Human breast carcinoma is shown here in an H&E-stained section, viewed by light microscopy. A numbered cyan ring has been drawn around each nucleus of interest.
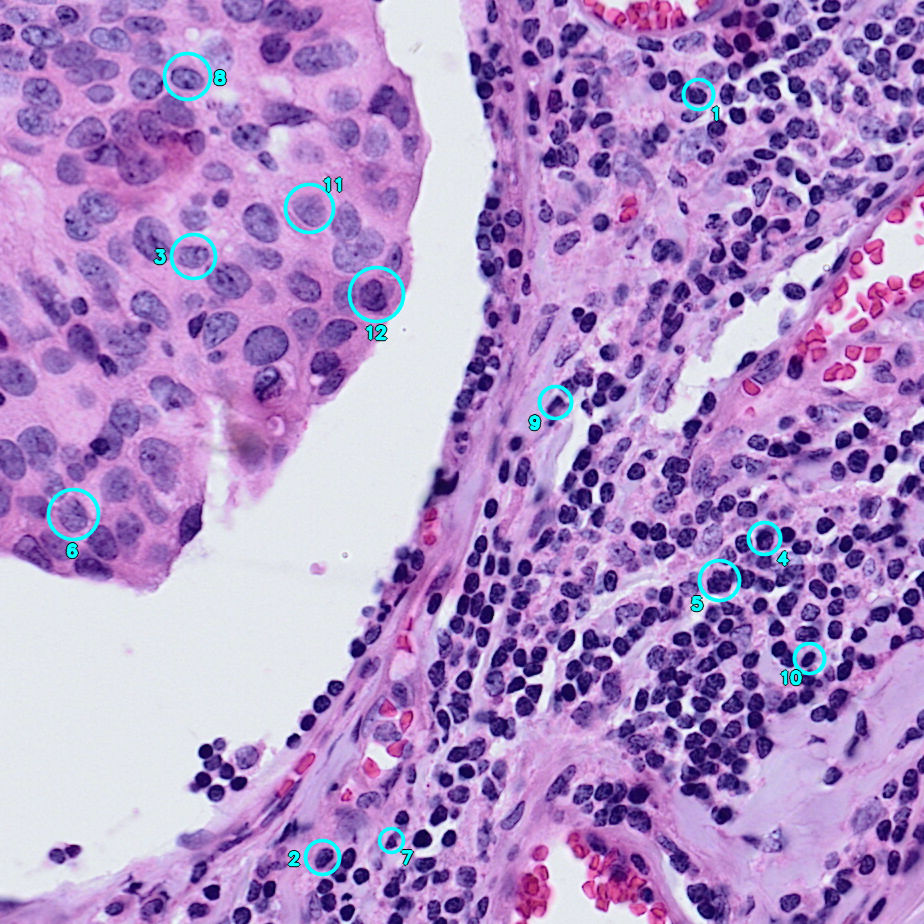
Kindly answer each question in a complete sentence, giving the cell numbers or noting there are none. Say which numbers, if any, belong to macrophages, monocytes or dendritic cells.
None among the numbered cells are macrophages, monocytes or dendritic cells.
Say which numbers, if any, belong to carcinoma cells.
The cells tagged 3, 6, 8, 11 and 12 are carcinoma cells in this tissue section.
